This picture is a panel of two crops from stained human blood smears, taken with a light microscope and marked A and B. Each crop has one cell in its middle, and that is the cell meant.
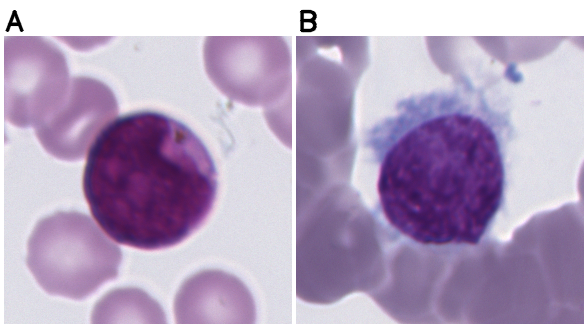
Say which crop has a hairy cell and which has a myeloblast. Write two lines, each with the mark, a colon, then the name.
A: myeloblast
B: hairy cell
